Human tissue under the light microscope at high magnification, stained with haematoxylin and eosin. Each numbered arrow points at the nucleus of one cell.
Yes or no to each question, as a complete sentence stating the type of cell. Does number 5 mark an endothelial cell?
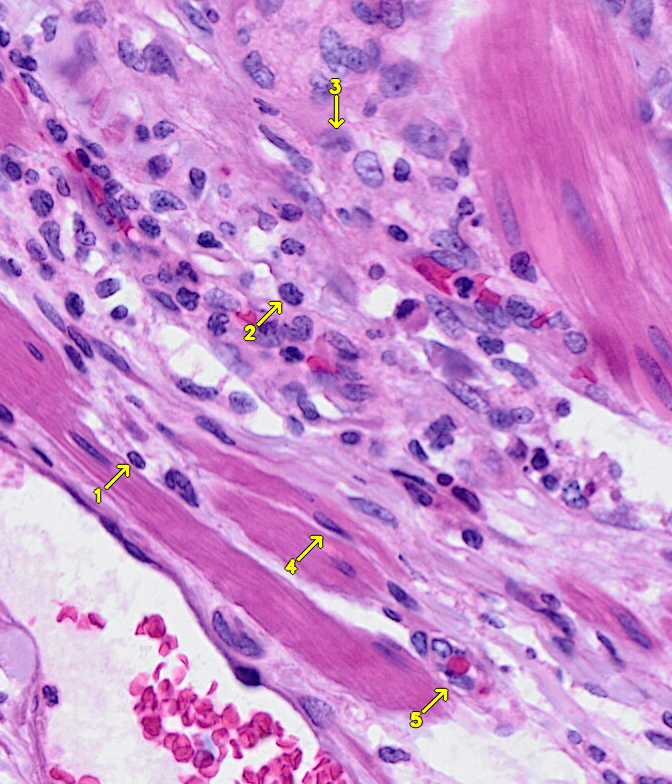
Yes. The cell carrying number 5 is an endothelial cell.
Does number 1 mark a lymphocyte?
Yes, the cell carrying number 1 is a lymphocyte.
